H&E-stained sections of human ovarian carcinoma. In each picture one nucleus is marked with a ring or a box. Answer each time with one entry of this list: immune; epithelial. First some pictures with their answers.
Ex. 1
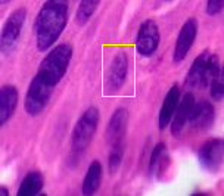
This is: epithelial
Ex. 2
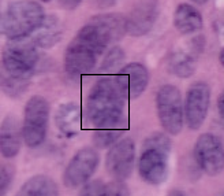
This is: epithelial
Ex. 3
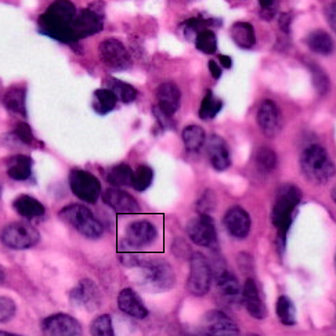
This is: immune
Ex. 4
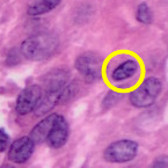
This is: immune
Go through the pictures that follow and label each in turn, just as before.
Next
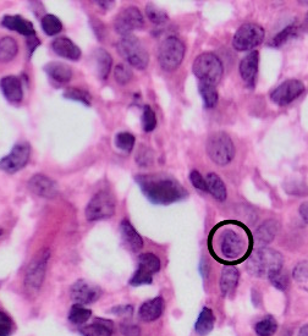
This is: immune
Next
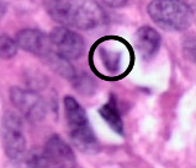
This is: epithelial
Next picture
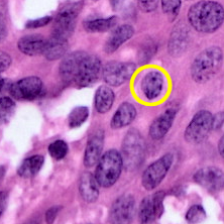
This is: immune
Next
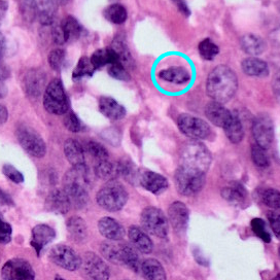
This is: immune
